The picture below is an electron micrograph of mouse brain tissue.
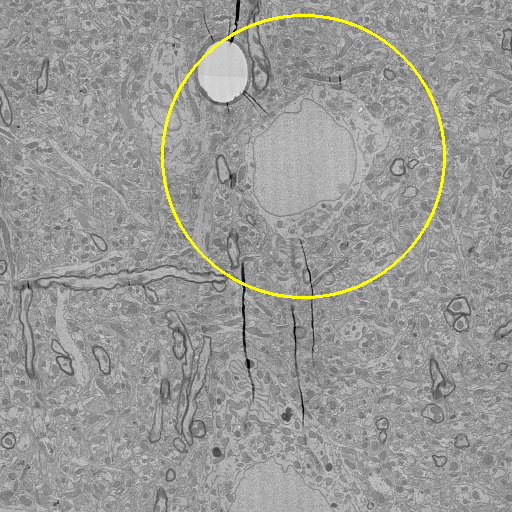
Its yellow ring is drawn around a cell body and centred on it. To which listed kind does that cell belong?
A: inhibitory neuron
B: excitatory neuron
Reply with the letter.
B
